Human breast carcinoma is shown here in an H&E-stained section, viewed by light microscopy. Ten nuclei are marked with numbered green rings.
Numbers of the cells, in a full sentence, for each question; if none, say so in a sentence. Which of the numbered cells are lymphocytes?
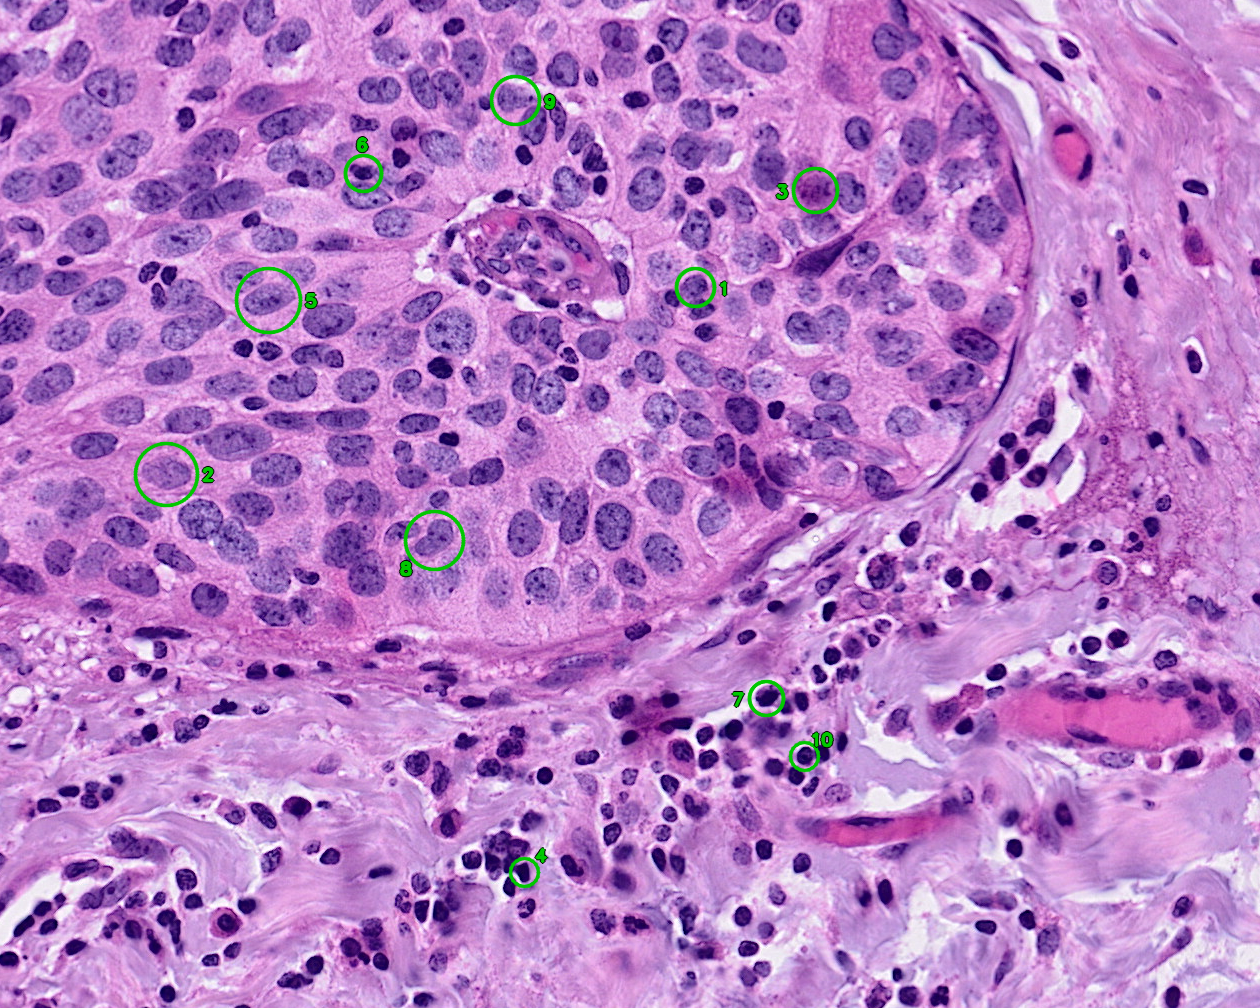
The cells marked 4, 6, 7 and 10 in the section are lymphocytes.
